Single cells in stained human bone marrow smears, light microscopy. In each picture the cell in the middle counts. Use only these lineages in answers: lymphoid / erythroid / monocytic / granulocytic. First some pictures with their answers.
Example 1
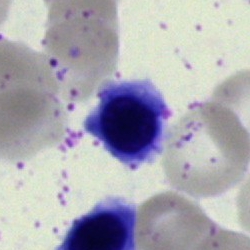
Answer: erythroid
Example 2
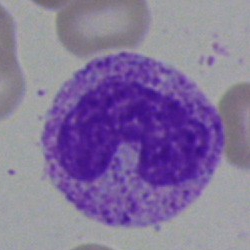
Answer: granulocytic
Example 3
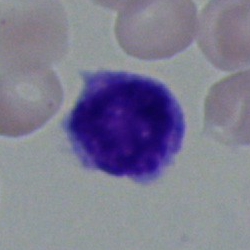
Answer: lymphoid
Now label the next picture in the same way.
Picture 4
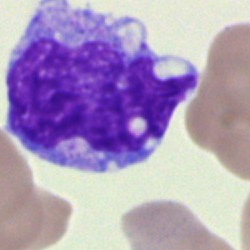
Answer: monocytic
